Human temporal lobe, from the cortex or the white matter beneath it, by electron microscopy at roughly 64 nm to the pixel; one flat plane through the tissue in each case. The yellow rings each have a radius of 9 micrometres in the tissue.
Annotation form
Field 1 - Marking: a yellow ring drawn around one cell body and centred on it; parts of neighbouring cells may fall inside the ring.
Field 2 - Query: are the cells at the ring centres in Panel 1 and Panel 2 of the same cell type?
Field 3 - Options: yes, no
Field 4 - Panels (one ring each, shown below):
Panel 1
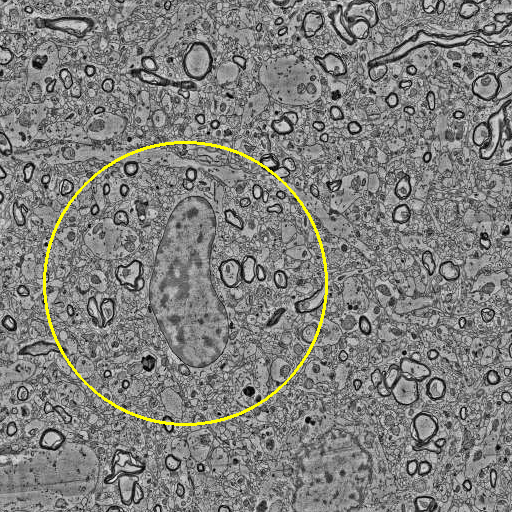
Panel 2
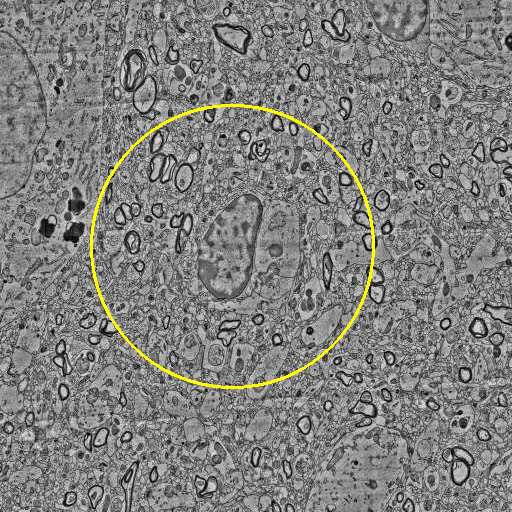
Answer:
yes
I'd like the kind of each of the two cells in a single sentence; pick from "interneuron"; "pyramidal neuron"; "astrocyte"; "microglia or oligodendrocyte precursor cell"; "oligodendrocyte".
Each of the two rings is centred on a microglial cell or oligodendrocyte precursor cell.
